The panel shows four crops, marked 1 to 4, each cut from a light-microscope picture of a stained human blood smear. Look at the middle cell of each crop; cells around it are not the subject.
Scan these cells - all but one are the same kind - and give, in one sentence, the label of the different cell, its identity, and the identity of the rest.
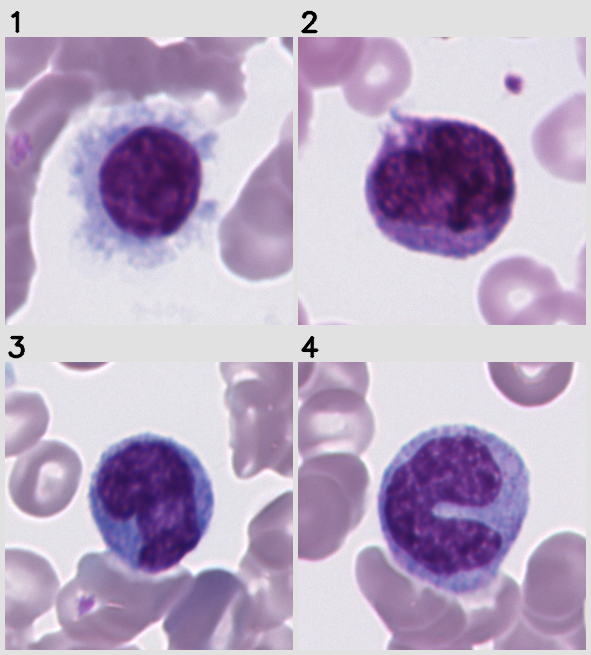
The crop that differs is crop 1, showing a hairy cell; the others show monocytes.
